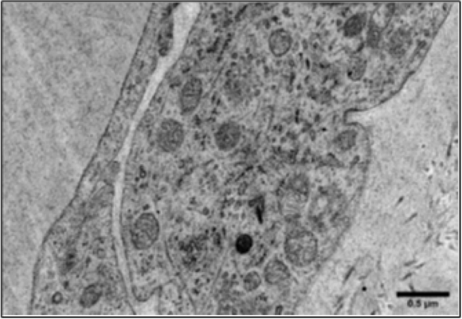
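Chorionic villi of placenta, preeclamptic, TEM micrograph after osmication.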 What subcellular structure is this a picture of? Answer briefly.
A: Mitochondria.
